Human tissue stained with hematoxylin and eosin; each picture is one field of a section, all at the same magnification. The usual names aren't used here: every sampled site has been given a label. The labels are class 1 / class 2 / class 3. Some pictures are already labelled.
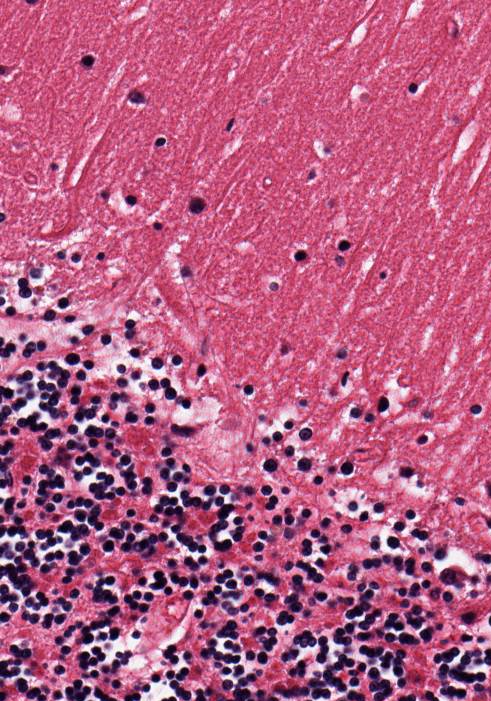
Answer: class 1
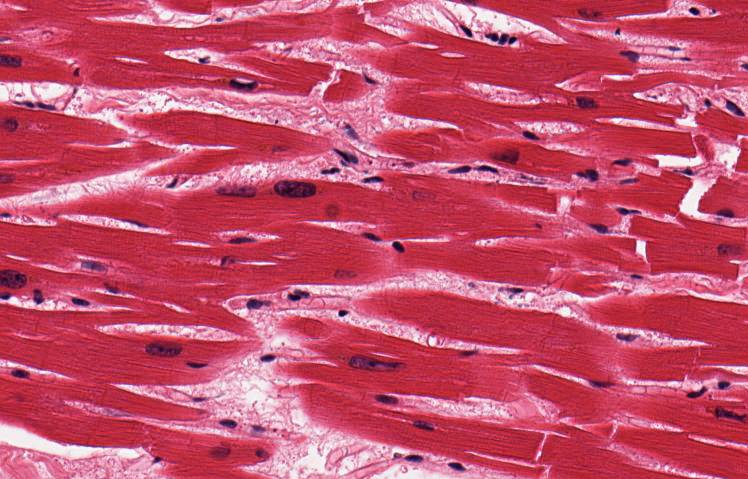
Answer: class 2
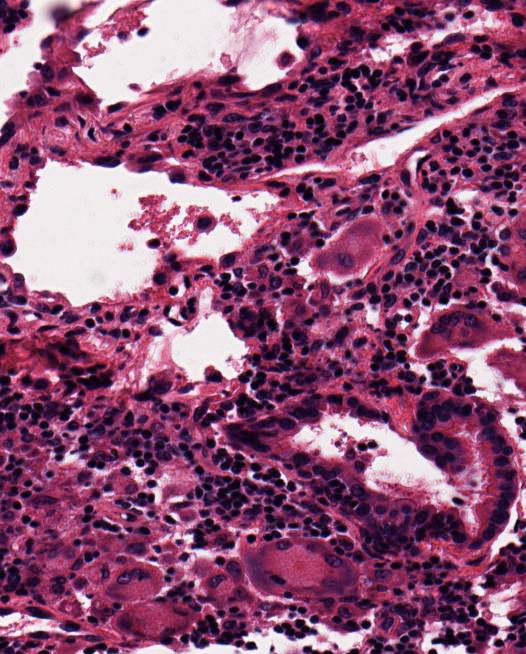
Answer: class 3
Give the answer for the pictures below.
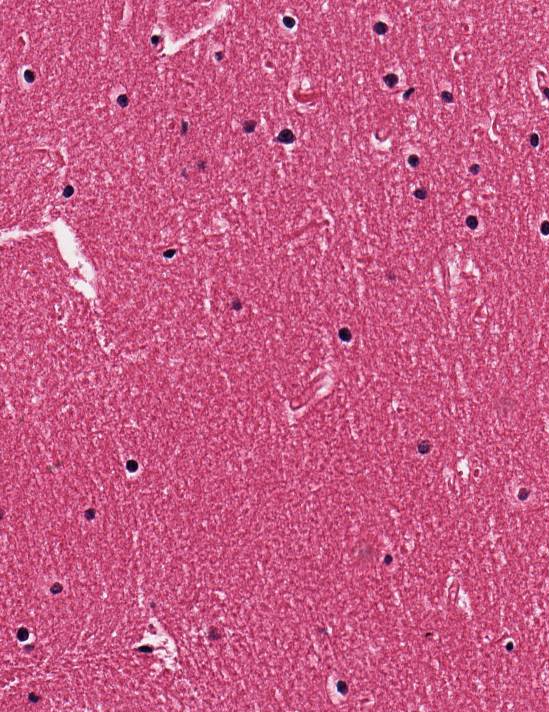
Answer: class 1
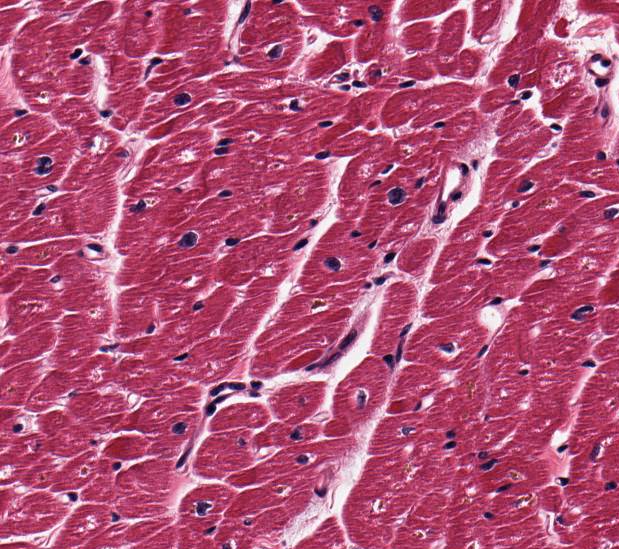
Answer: class 2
